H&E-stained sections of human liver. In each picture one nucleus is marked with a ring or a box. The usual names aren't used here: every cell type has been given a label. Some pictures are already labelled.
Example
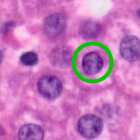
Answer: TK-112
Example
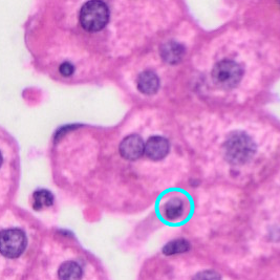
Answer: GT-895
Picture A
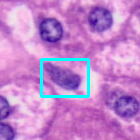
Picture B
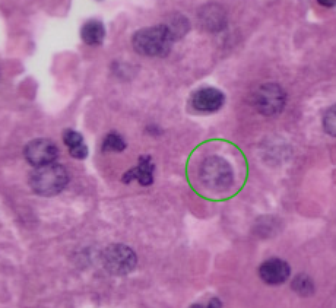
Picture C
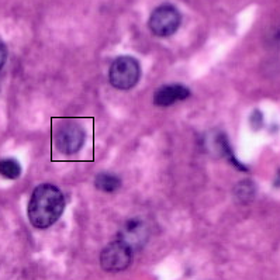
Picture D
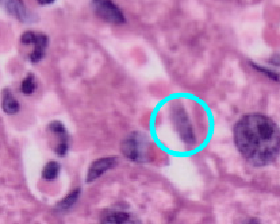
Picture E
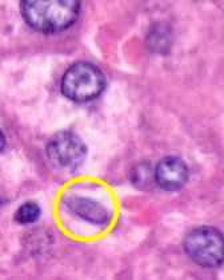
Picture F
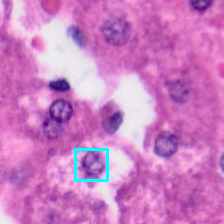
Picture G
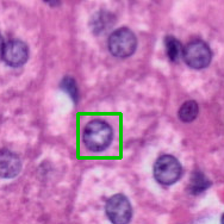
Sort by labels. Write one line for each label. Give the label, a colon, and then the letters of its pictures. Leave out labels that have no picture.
TK-112: B, C, F, G
GT-895: A, D, E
